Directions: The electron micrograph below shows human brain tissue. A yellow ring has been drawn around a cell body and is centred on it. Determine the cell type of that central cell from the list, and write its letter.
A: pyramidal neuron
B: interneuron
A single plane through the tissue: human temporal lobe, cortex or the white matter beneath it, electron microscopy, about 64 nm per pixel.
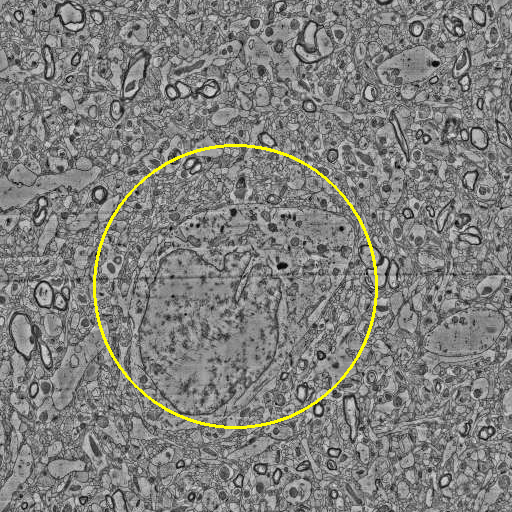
A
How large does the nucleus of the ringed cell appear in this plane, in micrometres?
Roughly 11 by 9 micrometres in this plane, for the nucleus of the ringed cell.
